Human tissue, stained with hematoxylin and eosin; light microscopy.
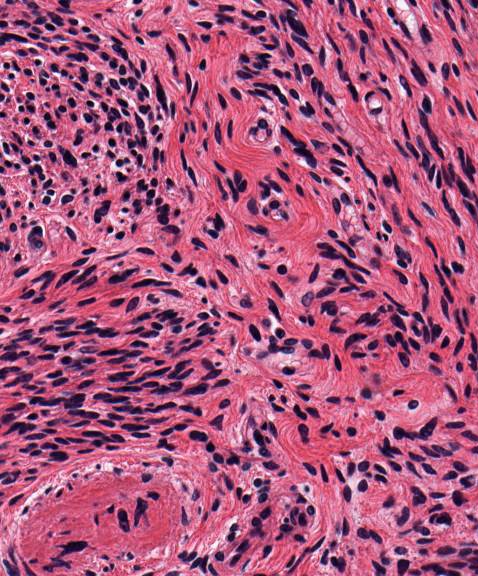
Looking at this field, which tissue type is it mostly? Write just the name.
smooth muscle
